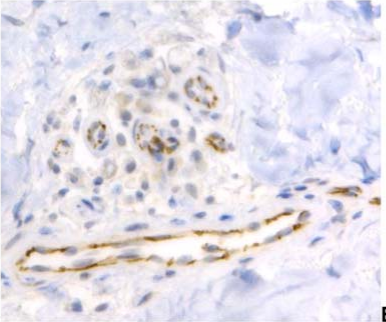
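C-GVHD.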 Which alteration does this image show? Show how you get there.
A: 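Microvascular proliferation. A rounded cluster of many small vessel-like lumens sits in the dermis.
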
